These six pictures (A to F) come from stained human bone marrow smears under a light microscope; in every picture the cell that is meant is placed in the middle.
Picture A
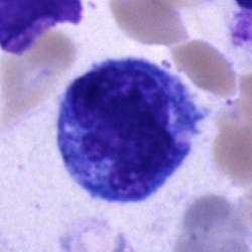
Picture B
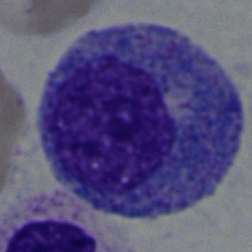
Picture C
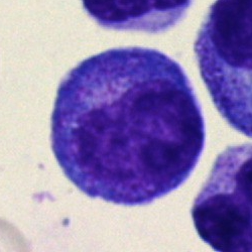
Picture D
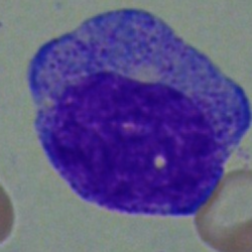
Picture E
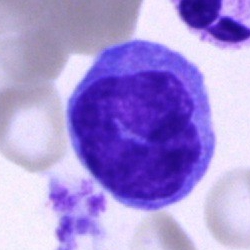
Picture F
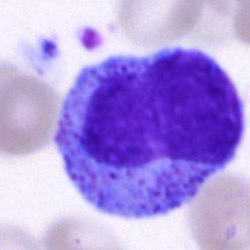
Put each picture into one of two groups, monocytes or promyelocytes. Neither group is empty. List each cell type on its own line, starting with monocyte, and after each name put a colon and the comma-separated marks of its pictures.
monocyte: A, E
promyelocyte: B, C, D, F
